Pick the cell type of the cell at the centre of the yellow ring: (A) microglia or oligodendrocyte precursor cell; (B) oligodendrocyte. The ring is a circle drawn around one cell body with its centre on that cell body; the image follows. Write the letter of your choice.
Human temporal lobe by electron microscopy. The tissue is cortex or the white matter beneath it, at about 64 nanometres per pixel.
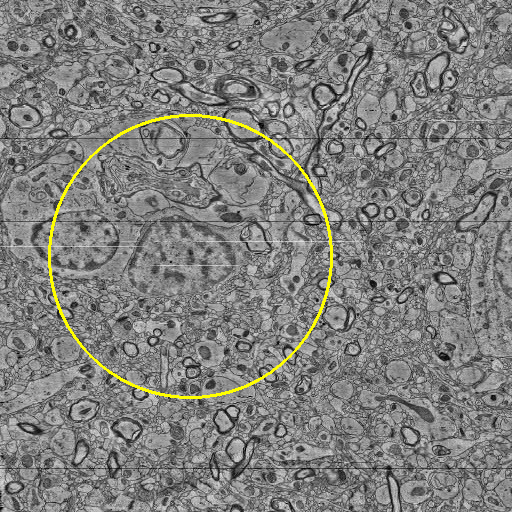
B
